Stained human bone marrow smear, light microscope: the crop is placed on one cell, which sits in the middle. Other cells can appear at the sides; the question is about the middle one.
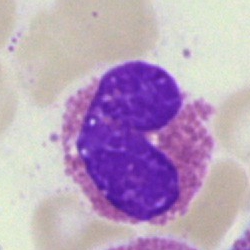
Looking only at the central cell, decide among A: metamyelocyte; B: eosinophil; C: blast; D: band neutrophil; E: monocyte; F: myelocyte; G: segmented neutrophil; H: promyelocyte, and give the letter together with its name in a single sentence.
In this crop the middle cell is an eosinophil, so option B is the correct answer.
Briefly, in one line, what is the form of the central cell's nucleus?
There is one compact nucleus, and its shape is round, oval or kidney-like.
